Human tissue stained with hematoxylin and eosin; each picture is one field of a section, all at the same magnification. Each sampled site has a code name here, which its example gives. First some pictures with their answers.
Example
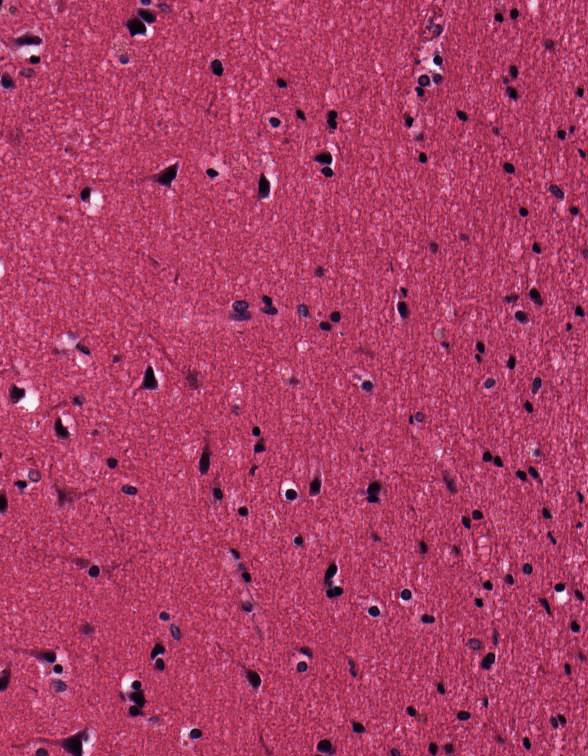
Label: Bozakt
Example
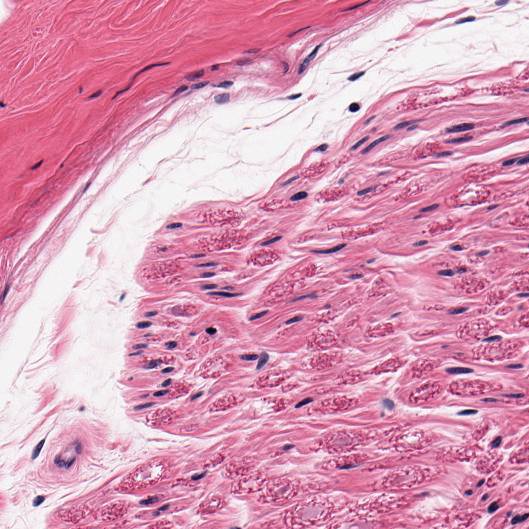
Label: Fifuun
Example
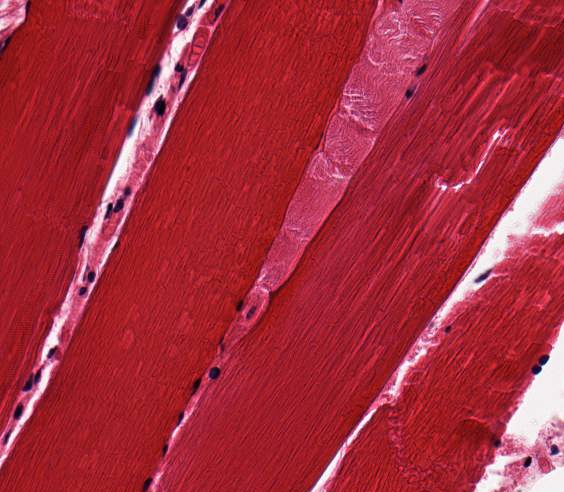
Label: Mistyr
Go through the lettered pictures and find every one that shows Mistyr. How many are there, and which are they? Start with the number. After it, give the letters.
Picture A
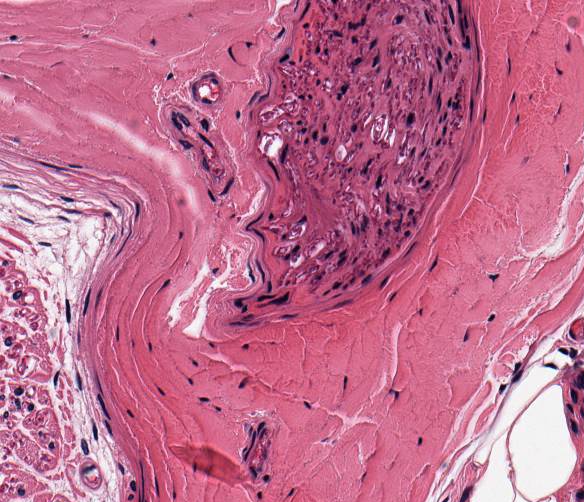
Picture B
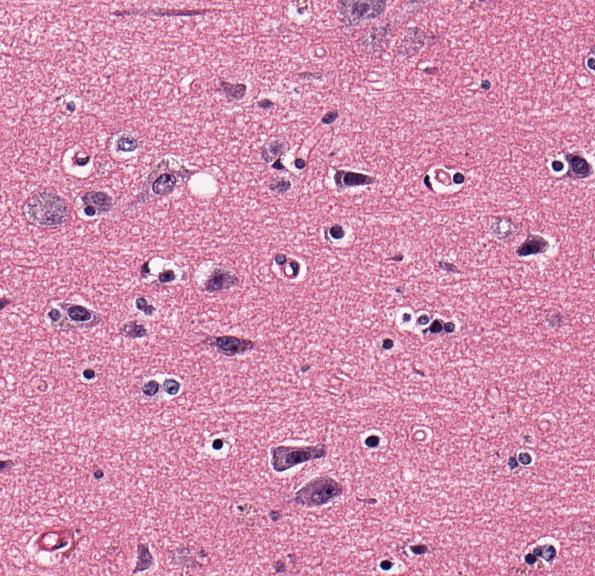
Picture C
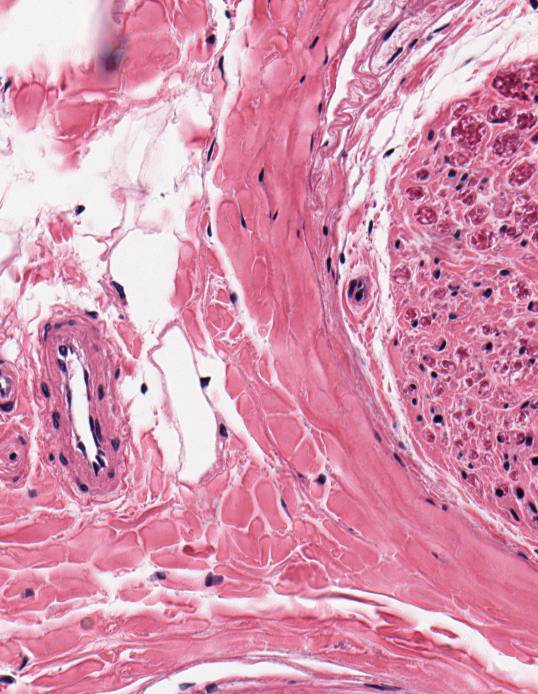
0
